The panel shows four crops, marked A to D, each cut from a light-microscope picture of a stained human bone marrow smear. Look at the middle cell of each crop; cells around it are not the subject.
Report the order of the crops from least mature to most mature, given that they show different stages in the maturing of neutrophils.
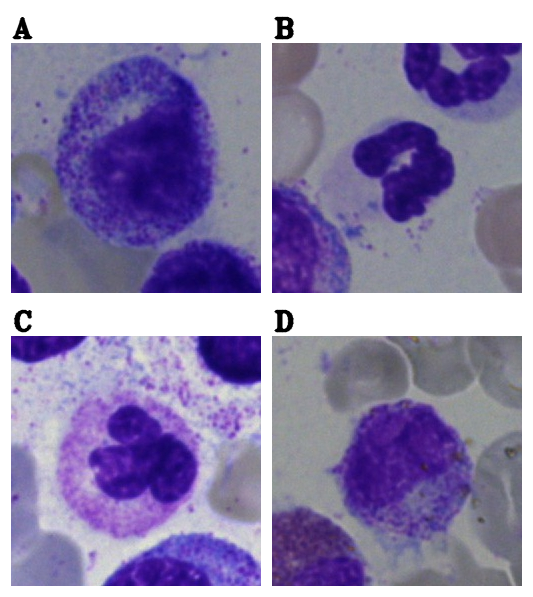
A, D, C, B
